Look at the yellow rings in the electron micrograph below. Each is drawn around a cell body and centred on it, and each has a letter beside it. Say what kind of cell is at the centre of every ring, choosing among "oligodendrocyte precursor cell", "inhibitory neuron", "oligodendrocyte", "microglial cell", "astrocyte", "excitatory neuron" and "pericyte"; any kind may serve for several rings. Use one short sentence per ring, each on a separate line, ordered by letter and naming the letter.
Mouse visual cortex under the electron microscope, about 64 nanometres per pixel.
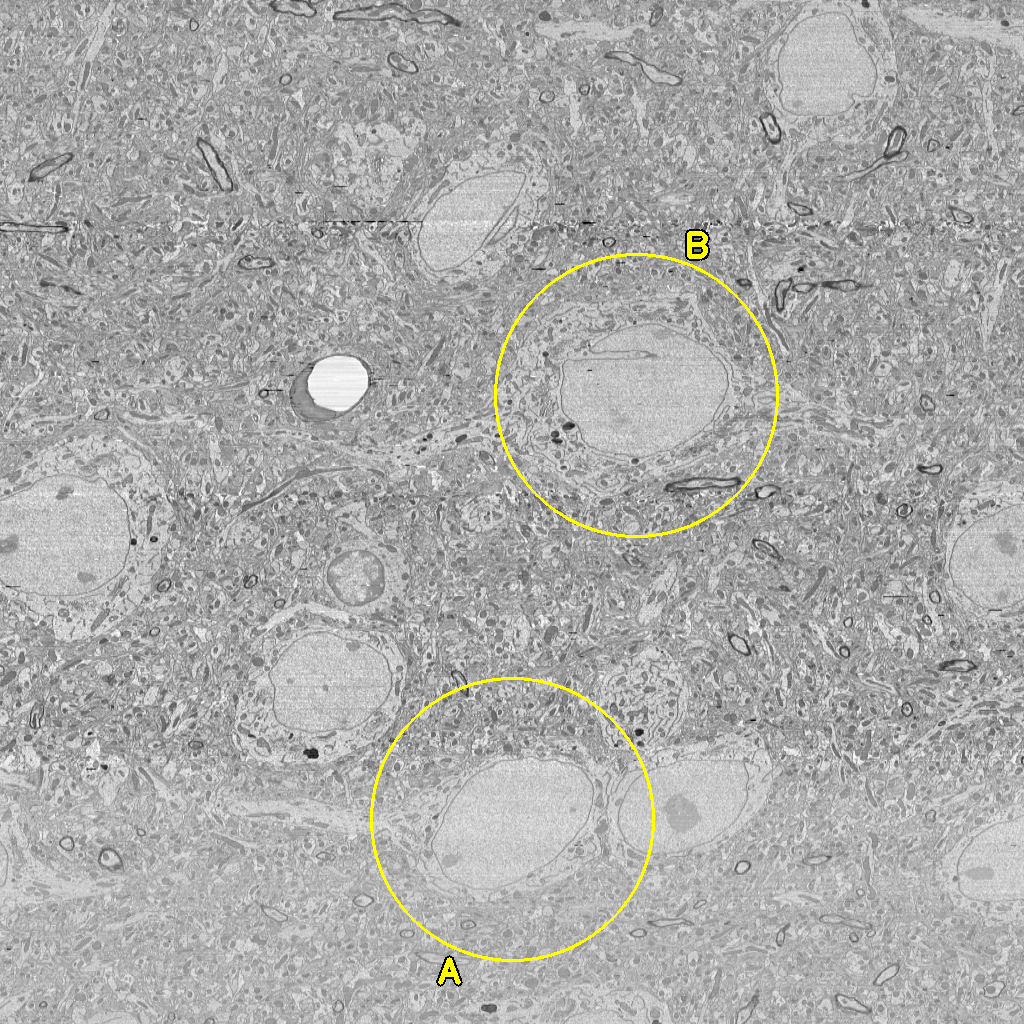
Ring A encircles an excitatory neuron.
Ring B encircles an inhibitory neuron.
